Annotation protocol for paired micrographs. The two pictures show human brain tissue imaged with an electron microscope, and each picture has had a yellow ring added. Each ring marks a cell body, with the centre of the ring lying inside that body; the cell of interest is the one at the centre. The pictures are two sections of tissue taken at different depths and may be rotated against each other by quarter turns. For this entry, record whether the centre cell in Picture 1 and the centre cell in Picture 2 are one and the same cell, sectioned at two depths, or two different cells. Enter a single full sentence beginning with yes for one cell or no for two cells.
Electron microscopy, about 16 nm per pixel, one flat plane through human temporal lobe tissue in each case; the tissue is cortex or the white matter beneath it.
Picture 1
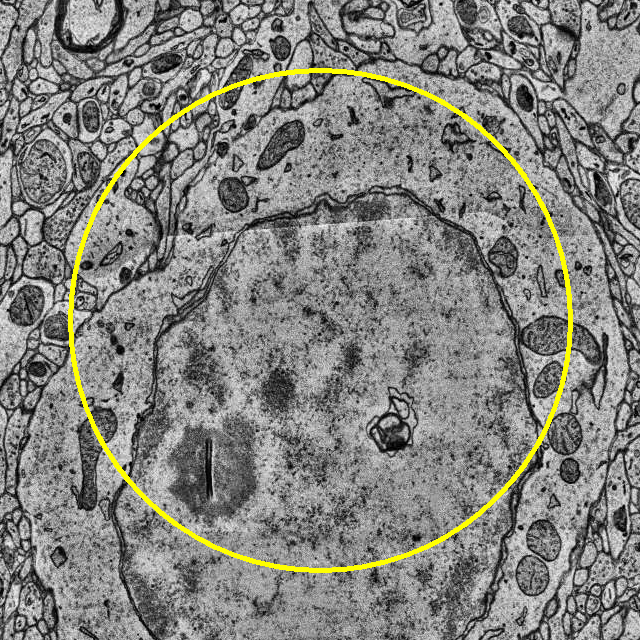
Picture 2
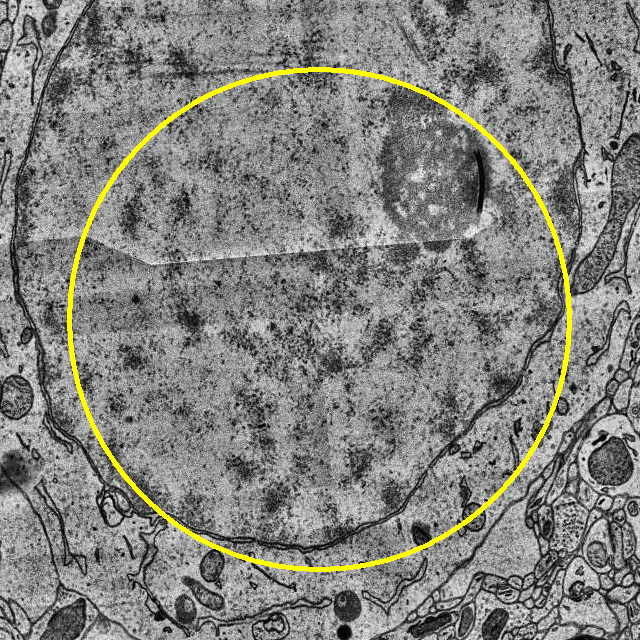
Yes, the marked cell is the same in both rings.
